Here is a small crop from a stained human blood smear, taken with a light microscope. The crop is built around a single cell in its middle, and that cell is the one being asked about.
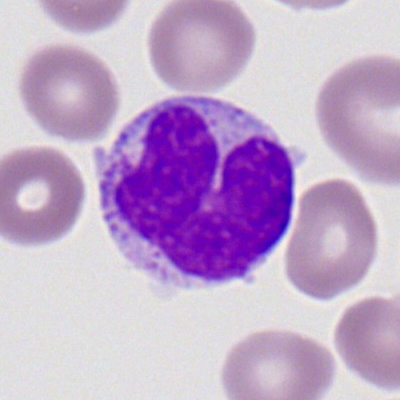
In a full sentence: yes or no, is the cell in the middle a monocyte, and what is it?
Yes, the cell that is in the middle is a monocyte.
